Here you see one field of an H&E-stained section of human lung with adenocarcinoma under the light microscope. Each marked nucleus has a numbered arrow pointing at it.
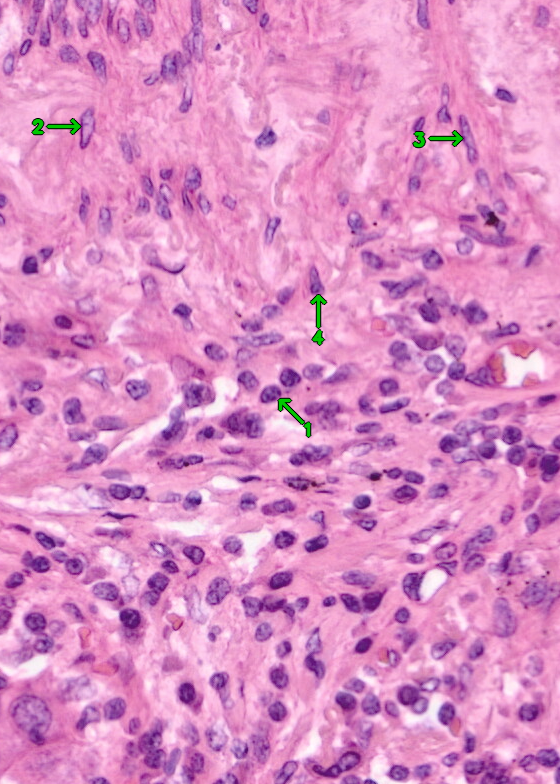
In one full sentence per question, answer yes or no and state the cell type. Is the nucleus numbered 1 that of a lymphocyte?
Yes, the cell distinguished by number 1 is a lymphocyte.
